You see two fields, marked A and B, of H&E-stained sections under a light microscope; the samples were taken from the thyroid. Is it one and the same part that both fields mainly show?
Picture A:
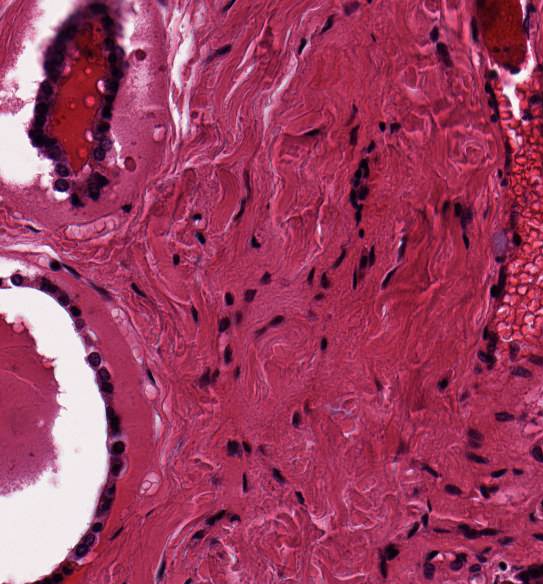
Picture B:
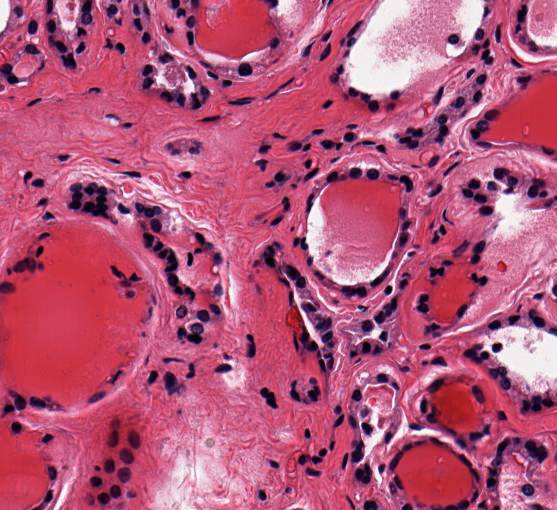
no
